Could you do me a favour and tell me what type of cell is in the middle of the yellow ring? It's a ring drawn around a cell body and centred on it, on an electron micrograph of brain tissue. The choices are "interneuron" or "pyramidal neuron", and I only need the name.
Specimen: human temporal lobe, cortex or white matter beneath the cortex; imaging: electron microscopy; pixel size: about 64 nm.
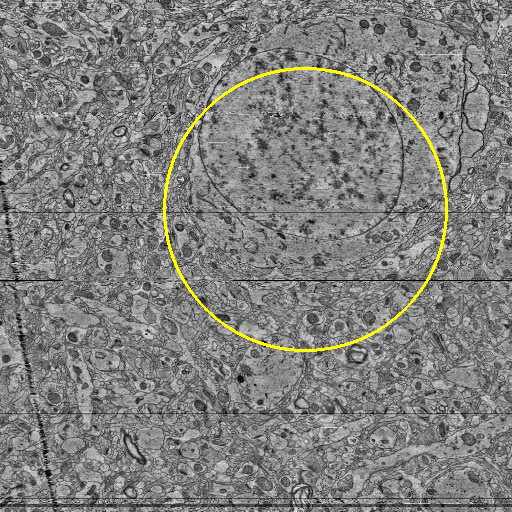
pyramidal neuron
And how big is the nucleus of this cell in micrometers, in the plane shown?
Approximately 14 micrometres across, in this plane.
